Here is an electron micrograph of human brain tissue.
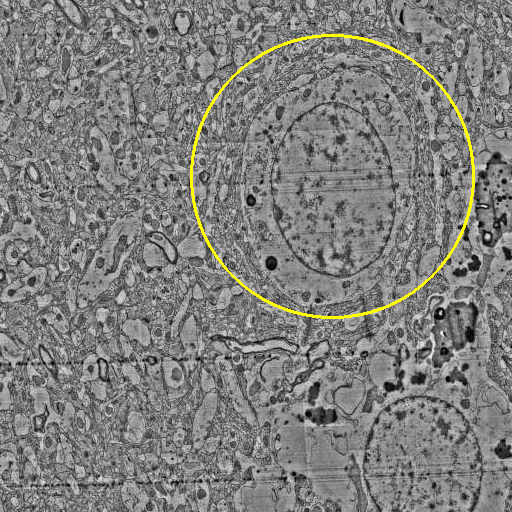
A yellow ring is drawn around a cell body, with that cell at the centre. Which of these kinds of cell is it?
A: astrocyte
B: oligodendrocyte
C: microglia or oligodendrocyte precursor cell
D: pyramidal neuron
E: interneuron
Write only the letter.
D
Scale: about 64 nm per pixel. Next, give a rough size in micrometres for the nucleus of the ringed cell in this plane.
The ringed cell's nucleus is about 11 micrometres long and 8 micrometres wide in this plane.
